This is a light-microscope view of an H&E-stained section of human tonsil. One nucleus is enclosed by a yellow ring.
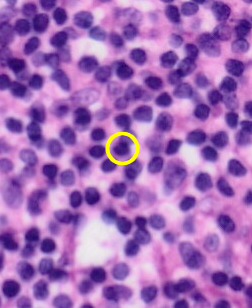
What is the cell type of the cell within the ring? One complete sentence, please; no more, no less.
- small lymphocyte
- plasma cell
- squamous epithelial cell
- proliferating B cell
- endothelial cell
By its classification, the cell within the ring is a small lymphocyte.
